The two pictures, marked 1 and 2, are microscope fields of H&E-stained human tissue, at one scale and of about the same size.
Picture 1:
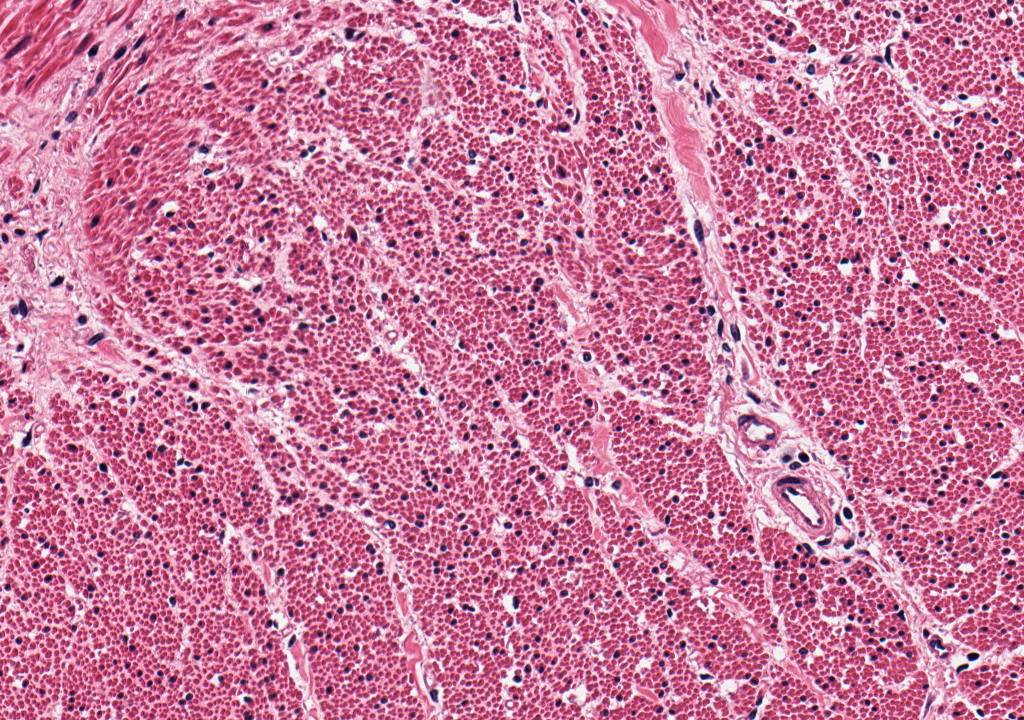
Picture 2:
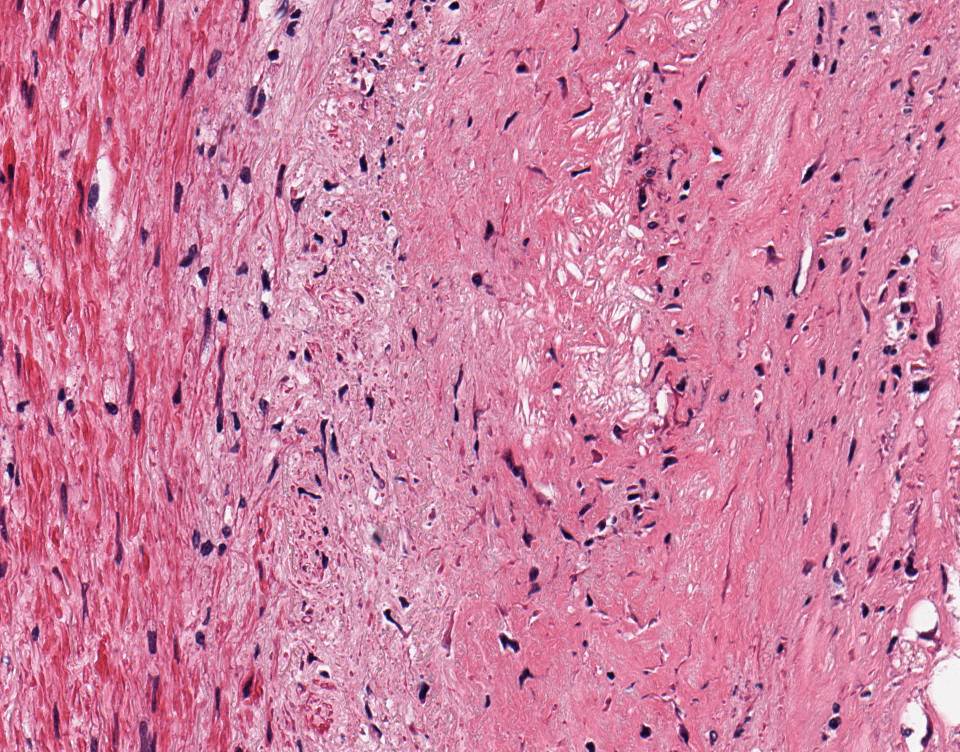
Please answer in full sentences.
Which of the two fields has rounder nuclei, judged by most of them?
On the whole the nuclei of picture 1 are rounder than those of picture 2.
